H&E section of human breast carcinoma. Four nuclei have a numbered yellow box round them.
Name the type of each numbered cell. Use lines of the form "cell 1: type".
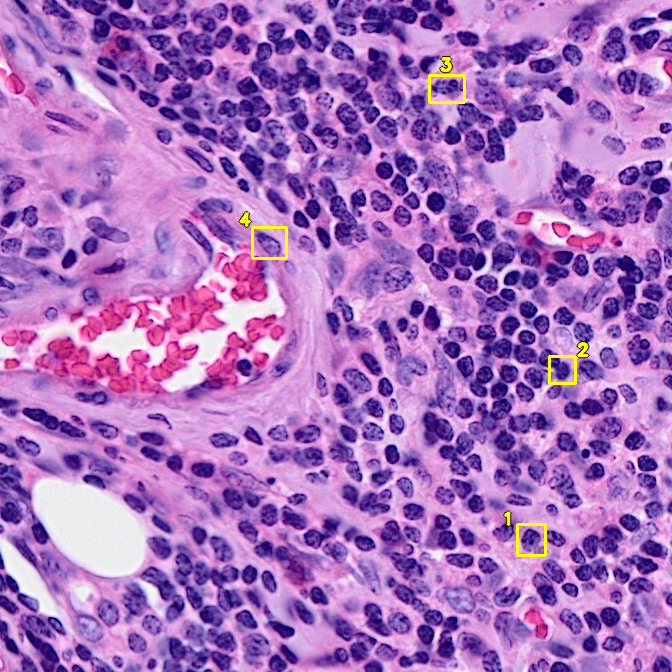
cell 1: lymphocyte
cell 2: lymphocyte
cell 3: lymphocyte
cell 4: endothelial cell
